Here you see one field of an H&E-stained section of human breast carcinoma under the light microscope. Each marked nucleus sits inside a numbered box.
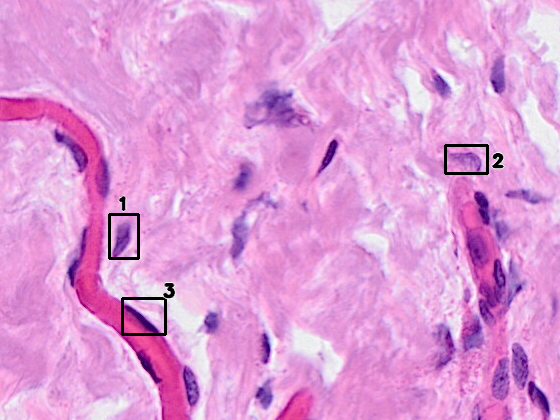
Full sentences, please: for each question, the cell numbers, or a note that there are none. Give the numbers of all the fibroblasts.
The cells with the number labels 1 and 2 are fibroblasts.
